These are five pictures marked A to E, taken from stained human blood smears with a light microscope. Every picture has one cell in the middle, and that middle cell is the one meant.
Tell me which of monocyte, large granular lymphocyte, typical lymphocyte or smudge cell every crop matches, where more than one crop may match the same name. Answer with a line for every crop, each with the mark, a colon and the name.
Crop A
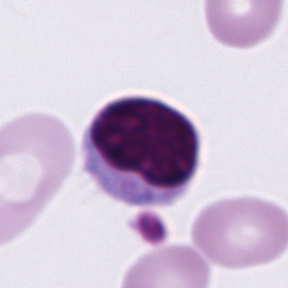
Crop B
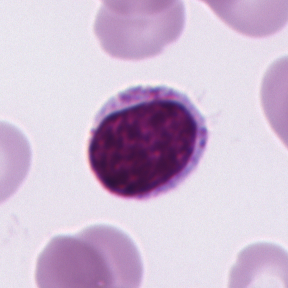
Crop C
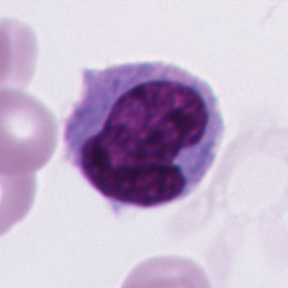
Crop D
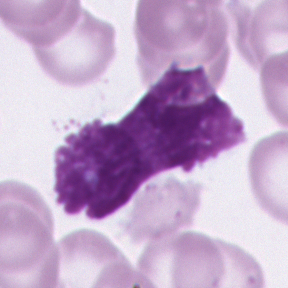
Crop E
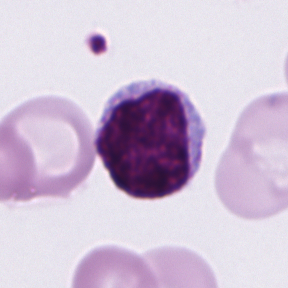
A: typical lymphocyte
B: large granular lymphocyte
C: monocyte
D: smudge cell
E: typical lymphocyte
